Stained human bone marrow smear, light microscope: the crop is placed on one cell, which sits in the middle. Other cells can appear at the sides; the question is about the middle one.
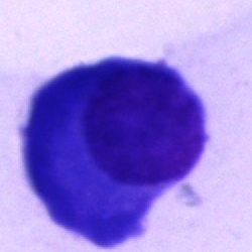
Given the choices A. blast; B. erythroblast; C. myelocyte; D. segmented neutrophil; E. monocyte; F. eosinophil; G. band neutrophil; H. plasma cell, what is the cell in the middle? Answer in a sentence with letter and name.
Since the cell in the middle is a plasma cell, option H is correct.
